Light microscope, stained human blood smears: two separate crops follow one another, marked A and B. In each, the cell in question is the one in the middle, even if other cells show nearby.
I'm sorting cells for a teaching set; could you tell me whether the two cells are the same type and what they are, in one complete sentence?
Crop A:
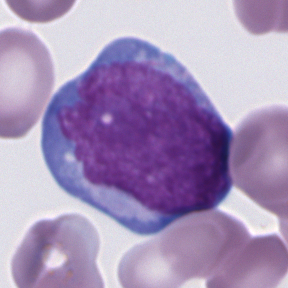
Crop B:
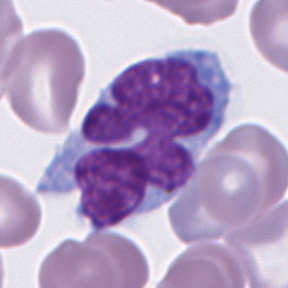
No, crop A depicts a blast, and crop B depicts a monocyte.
